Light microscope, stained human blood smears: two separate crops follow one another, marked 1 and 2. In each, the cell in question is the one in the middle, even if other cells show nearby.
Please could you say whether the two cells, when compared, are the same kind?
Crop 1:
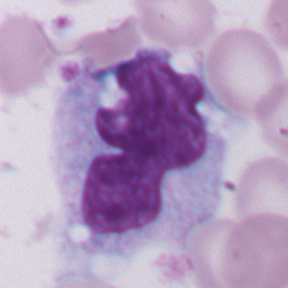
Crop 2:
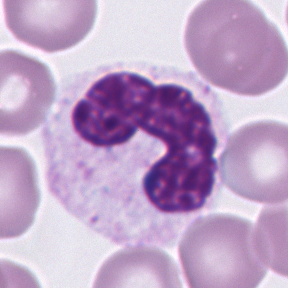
no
